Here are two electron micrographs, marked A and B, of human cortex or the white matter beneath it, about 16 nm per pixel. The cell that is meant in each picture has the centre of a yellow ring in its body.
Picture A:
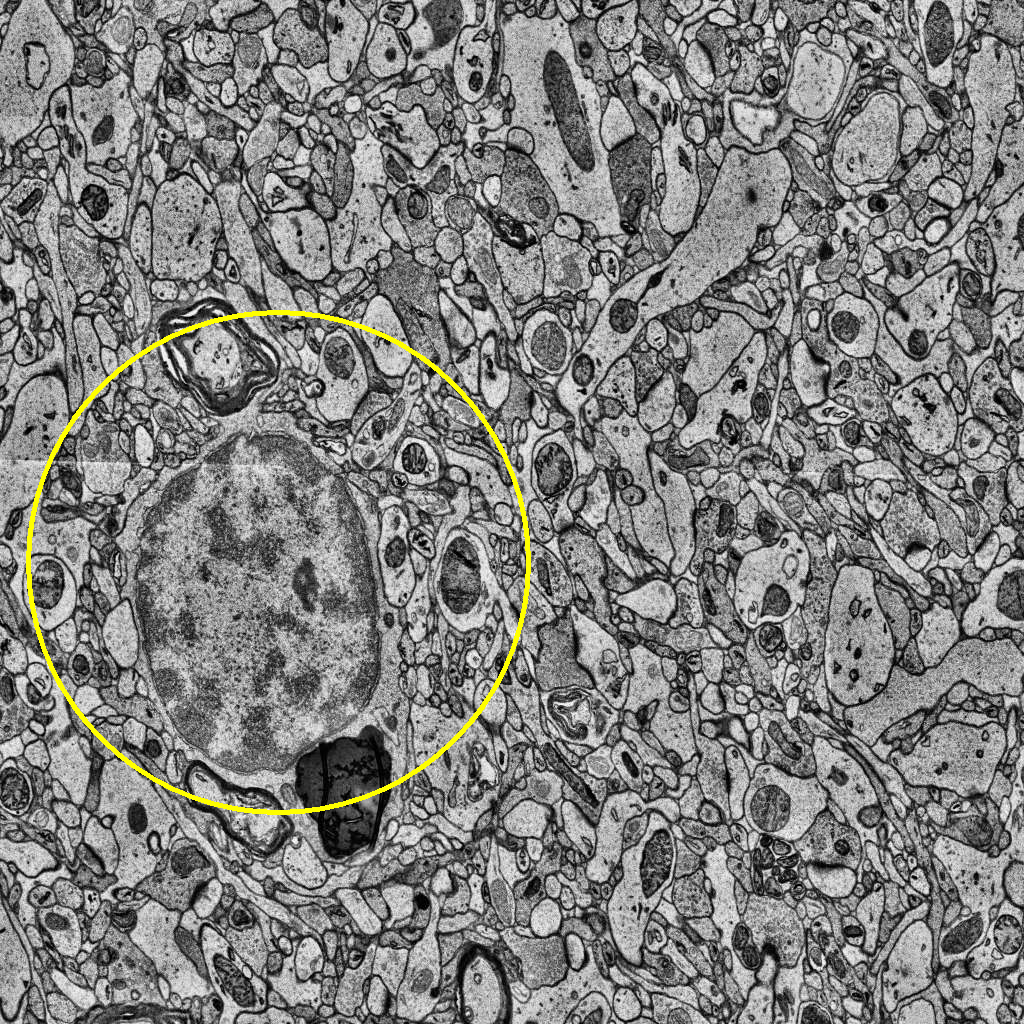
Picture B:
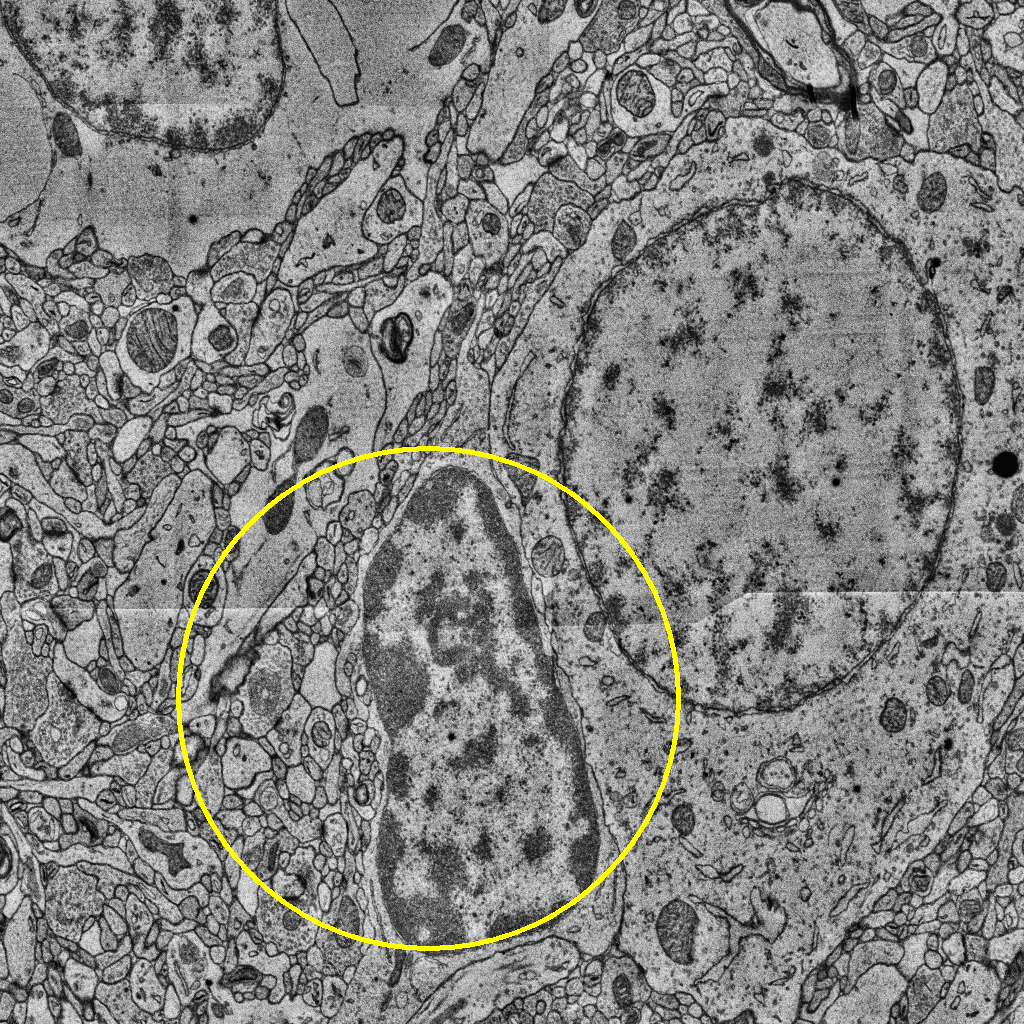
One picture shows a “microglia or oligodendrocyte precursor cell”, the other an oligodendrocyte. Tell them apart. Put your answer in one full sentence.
Picture B shows a “microglia or oligodendrocyte precursor cell”, while picture A shows an oligodendrocyte.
